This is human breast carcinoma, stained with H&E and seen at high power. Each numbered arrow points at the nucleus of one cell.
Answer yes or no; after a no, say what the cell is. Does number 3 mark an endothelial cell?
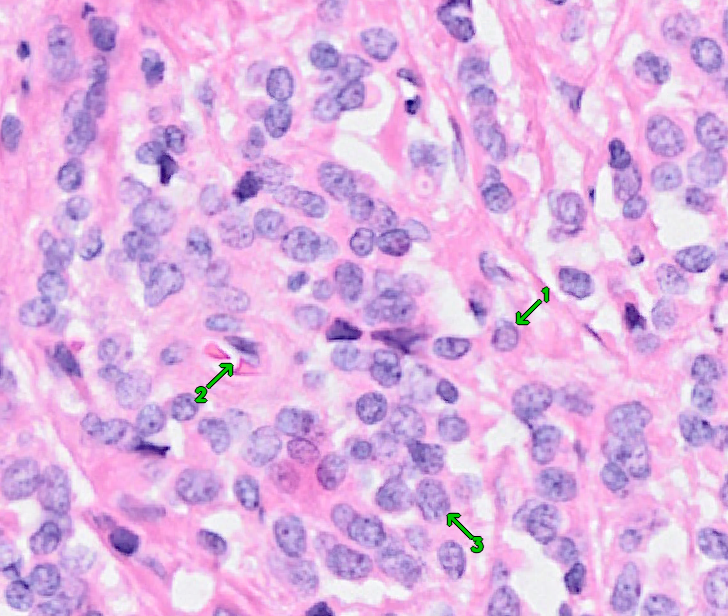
No, it is a carcinoma cell.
